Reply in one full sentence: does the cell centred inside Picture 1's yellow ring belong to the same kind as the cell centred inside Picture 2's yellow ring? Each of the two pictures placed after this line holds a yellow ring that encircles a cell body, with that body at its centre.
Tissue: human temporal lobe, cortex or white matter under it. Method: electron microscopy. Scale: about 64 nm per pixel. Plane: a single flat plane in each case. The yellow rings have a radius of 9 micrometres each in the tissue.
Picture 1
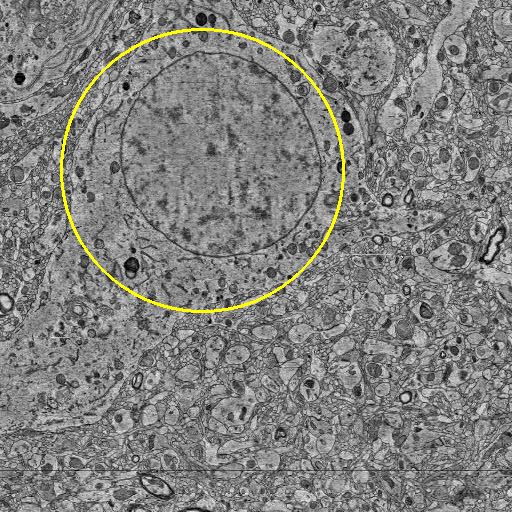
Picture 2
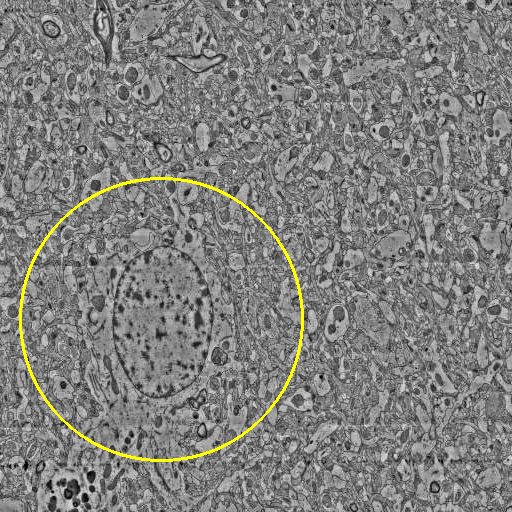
No, the ring-centred cells in Picture 1 and Picture 2 are of two separate kinds.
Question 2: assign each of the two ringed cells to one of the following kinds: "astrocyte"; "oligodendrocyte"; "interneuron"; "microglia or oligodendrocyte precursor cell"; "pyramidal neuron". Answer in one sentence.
The two cells are a pyramidal neuron in the first picture and an astrocyte in the second.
